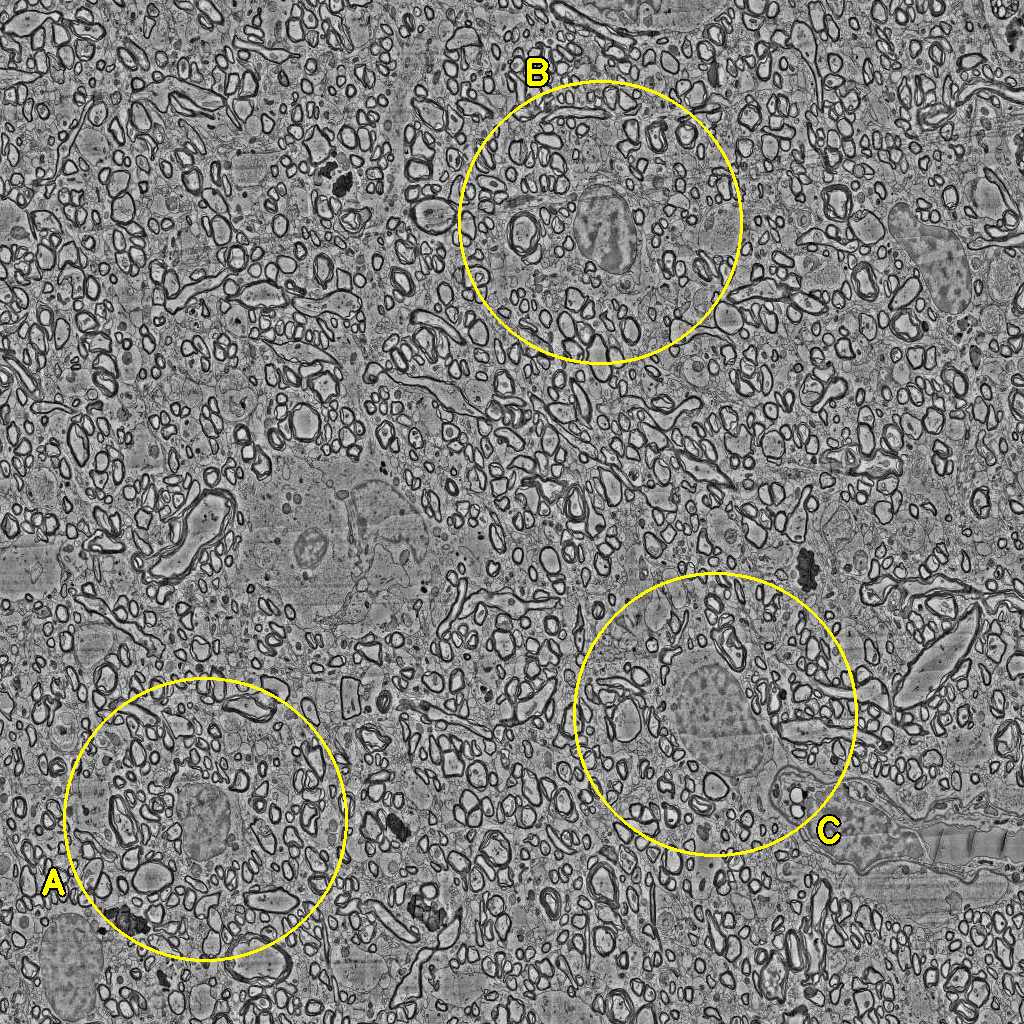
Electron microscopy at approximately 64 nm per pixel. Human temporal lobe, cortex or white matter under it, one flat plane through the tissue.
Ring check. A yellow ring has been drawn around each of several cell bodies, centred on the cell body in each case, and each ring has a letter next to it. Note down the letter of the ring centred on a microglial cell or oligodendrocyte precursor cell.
B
